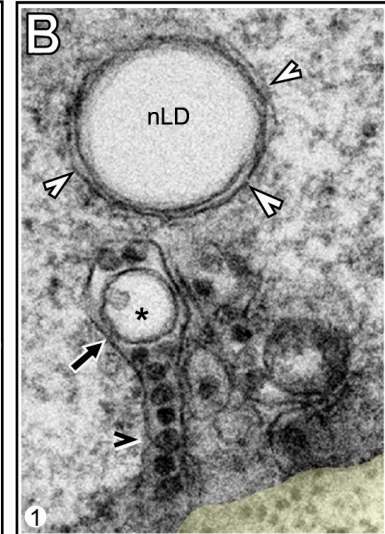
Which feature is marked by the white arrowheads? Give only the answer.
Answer: extra membranes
